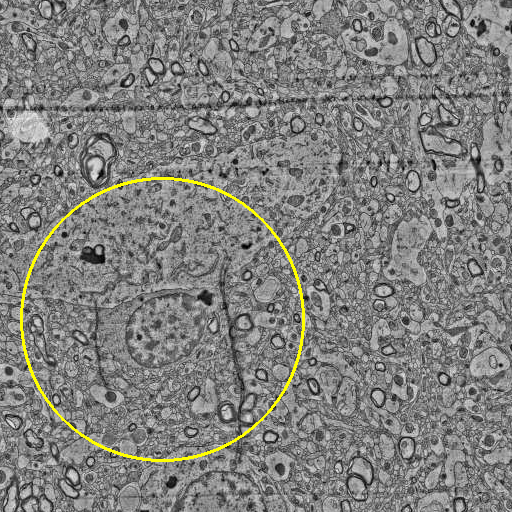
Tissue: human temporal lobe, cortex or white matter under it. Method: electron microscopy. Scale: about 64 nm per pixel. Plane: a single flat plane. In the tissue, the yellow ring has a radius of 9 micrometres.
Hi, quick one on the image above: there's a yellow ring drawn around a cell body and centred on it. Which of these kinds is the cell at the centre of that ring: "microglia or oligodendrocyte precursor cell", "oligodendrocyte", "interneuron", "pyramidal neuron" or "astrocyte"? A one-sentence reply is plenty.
The cell at the centre of the ring is an oligodendrocyte.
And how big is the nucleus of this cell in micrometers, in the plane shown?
Approximately 5 micrometres across in this plane.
